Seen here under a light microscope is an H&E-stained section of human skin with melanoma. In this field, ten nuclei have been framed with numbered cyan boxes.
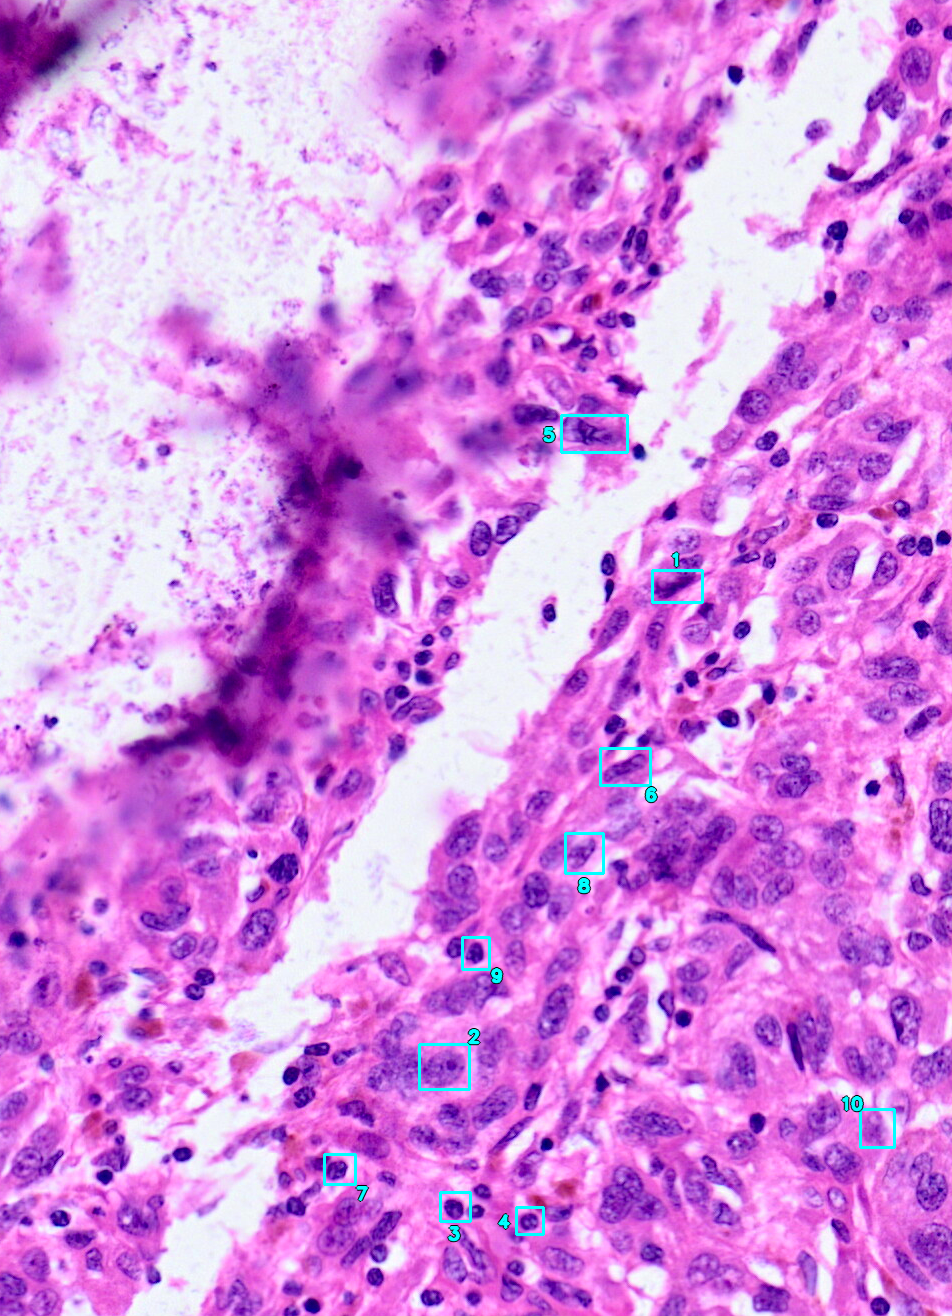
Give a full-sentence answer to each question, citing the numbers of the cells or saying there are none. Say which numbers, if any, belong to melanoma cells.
The cells tagged with numbers 1, 2, 5, 6, 8 and 10 are melanoma cells.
